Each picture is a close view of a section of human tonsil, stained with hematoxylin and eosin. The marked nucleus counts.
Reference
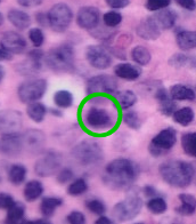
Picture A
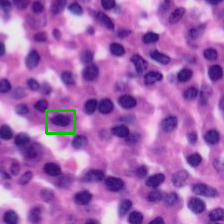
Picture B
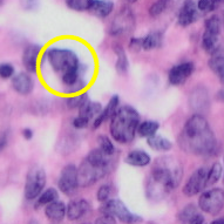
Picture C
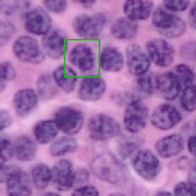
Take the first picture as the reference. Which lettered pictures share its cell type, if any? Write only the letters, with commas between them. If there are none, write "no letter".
B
